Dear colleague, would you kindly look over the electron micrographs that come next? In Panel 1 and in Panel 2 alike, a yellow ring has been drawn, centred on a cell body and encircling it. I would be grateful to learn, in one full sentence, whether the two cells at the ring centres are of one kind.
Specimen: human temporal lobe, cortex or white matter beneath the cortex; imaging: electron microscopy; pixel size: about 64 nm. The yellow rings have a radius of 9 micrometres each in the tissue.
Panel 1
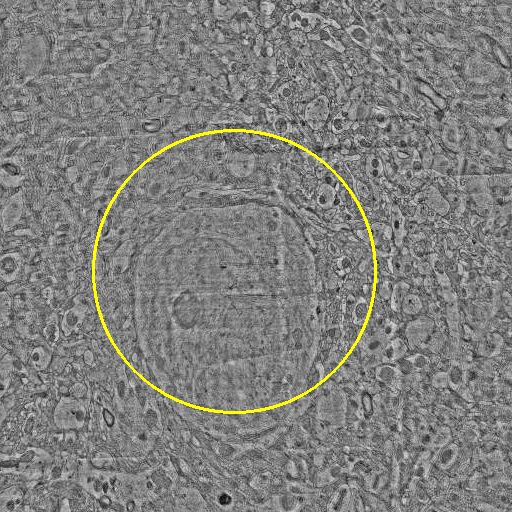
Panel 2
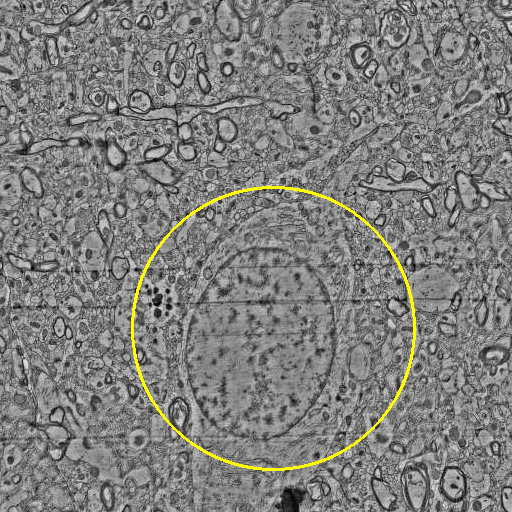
Yes, the cells in the middle of the rings in the two panels are of one kind.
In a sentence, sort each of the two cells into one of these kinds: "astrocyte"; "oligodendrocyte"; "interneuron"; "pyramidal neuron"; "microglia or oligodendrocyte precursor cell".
Both rings mark an interneuron, one in each picture.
